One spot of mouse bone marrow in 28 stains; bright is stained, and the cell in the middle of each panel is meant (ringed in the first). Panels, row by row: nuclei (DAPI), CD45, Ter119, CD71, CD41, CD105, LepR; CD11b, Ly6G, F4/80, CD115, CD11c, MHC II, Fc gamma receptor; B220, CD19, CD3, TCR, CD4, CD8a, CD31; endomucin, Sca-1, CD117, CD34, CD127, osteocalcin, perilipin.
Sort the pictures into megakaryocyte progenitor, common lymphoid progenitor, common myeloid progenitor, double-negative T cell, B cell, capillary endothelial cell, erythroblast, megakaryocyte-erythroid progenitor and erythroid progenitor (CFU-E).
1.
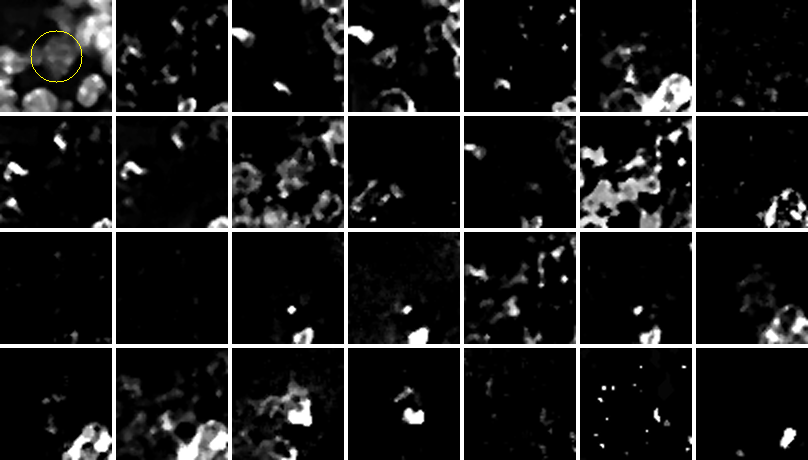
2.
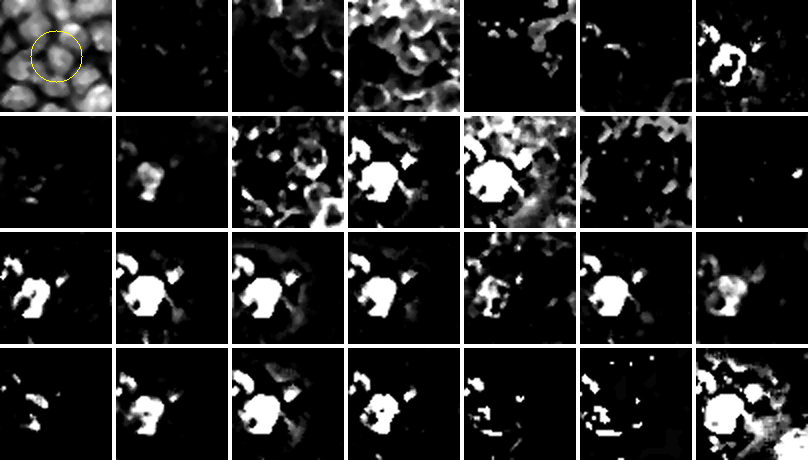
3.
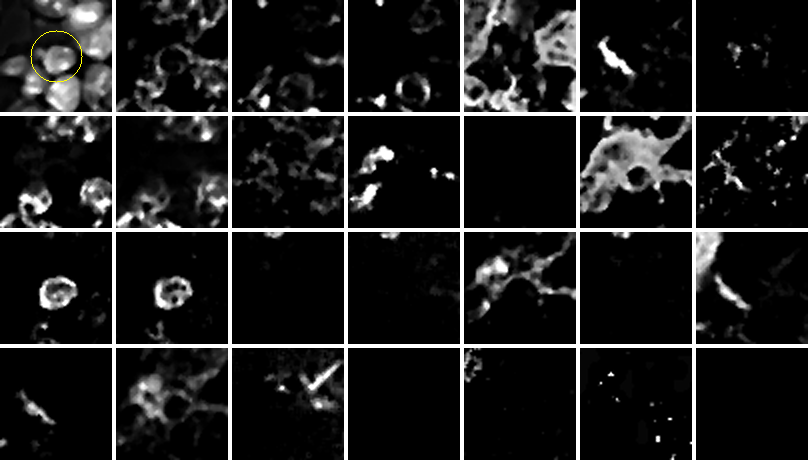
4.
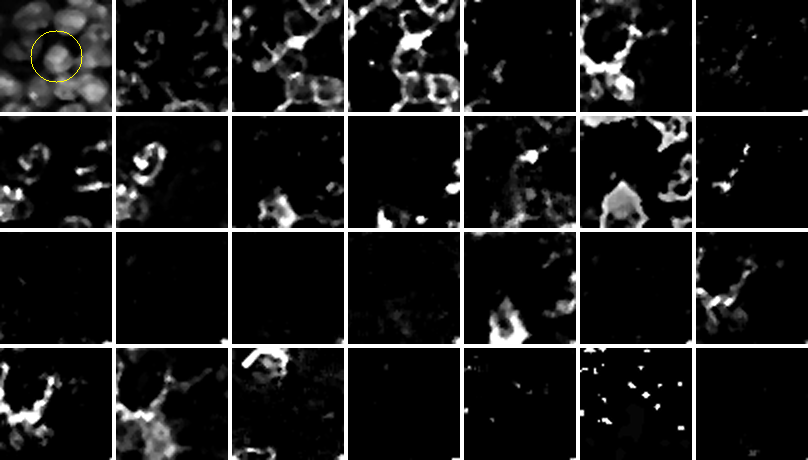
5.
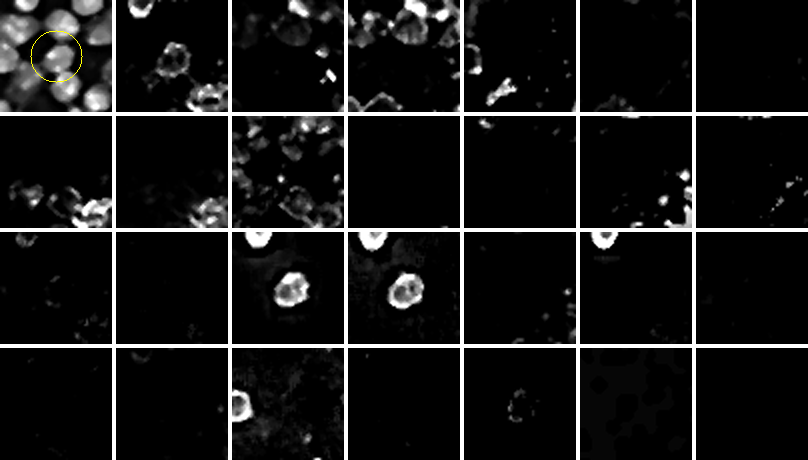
Common myeloid progenitors: 1
Erythroblasts: 2, 4
B cells: 3
Double-negative T cells: 5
